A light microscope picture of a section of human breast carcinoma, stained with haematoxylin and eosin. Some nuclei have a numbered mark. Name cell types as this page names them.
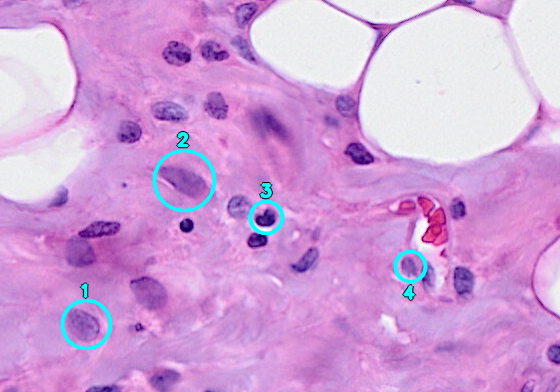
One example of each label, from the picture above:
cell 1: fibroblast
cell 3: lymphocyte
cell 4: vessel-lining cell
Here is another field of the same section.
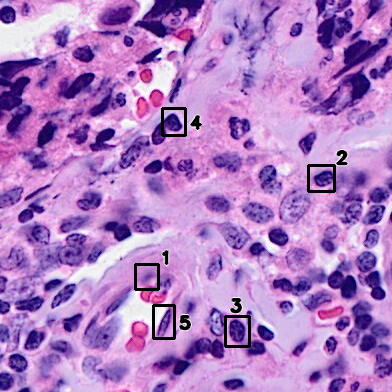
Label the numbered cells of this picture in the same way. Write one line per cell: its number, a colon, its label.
1: vessel-lining cell
2: lymphocyte
3: lymphocyte
4: lymphocyte
5: vessel-lining cell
